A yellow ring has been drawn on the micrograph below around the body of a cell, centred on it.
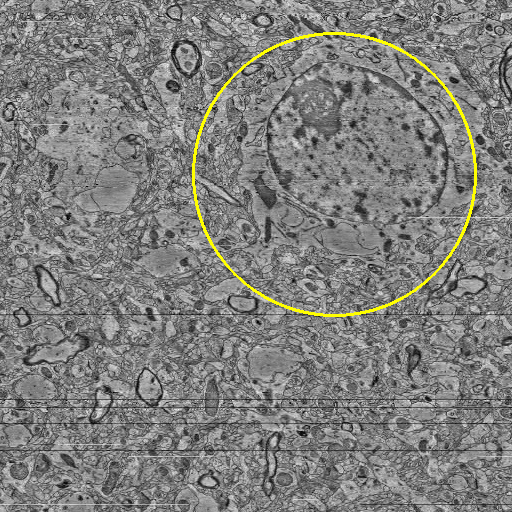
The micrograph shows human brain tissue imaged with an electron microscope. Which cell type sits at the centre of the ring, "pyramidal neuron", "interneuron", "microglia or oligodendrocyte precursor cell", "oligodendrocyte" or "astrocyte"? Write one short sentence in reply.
The cell sitting at the centre of the ring is an astrocyte.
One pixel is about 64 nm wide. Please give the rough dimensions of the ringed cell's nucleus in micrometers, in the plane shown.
Roughly 12 micrometres by 10 micrometres, in this plane.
